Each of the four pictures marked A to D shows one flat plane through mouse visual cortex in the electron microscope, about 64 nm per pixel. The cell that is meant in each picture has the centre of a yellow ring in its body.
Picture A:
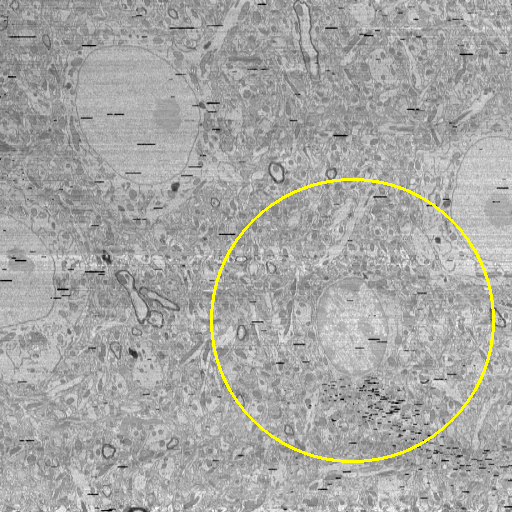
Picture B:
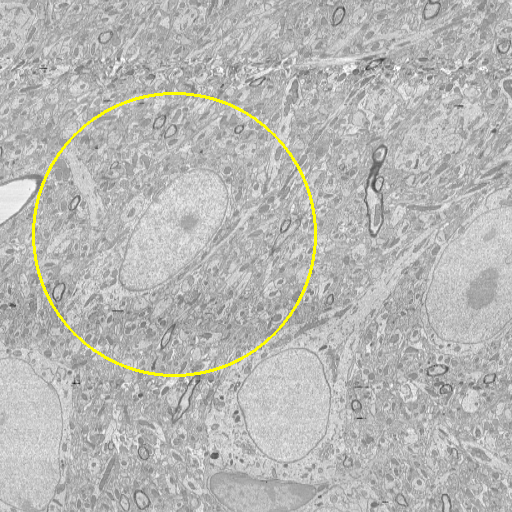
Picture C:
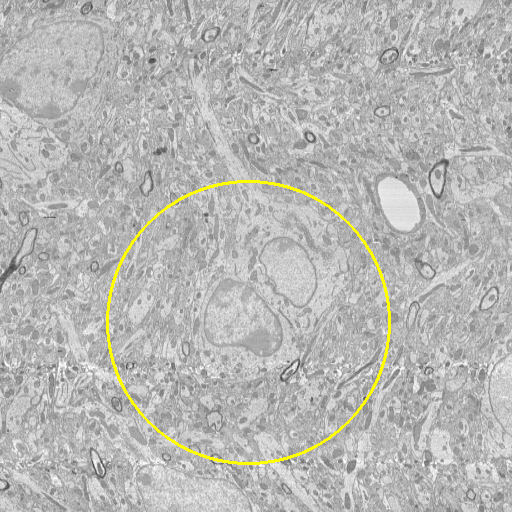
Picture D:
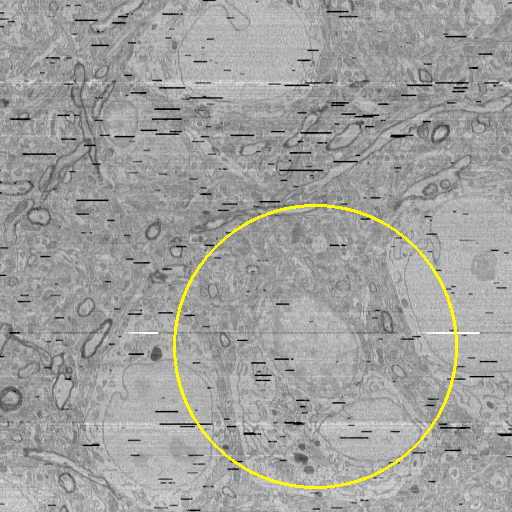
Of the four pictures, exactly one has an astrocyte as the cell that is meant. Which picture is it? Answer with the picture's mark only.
B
